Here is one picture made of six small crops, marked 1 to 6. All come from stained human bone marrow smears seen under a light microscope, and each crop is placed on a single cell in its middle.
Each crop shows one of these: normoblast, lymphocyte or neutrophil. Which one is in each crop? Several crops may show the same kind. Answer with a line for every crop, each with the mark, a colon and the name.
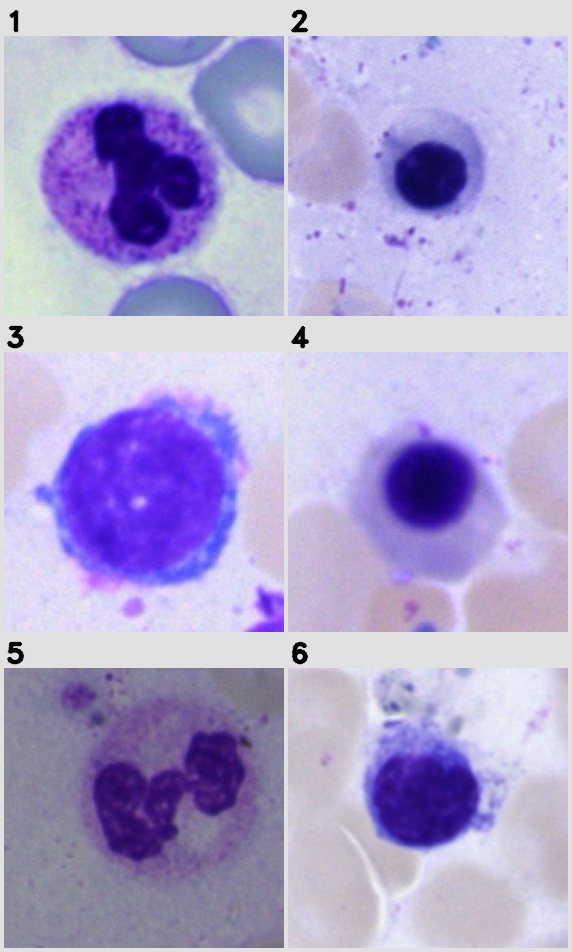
1: neutrophil
2: normoblast
3: lymphocyte
4: normoblast
5: neutrophil
6: lymphocyte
